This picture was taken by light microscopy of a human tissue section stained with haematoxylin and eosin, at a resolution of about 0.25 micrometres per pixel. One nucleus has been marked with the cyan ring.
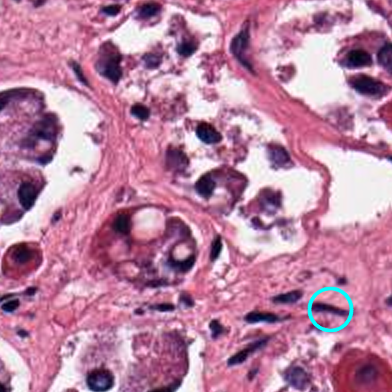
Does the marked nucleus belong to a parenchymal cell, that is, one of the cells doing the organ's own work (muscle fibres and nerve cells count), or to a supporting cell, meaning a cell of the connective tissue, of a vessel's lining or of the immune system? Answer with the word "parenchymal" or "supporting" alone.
supporting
